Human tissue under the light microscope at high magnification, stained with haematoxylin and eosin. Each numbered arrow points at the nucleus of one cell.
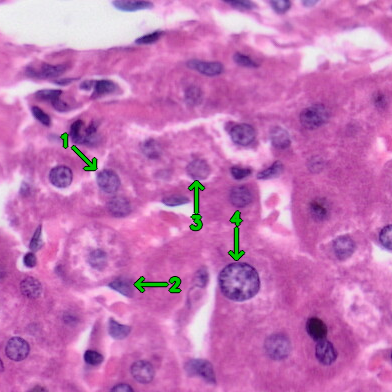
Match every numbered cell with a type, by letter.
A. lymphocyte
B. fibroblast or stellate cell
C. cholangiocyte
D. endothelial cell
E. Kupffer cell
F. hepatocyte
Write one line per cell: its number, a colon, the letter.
1: F
2: D
3: F
4: F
